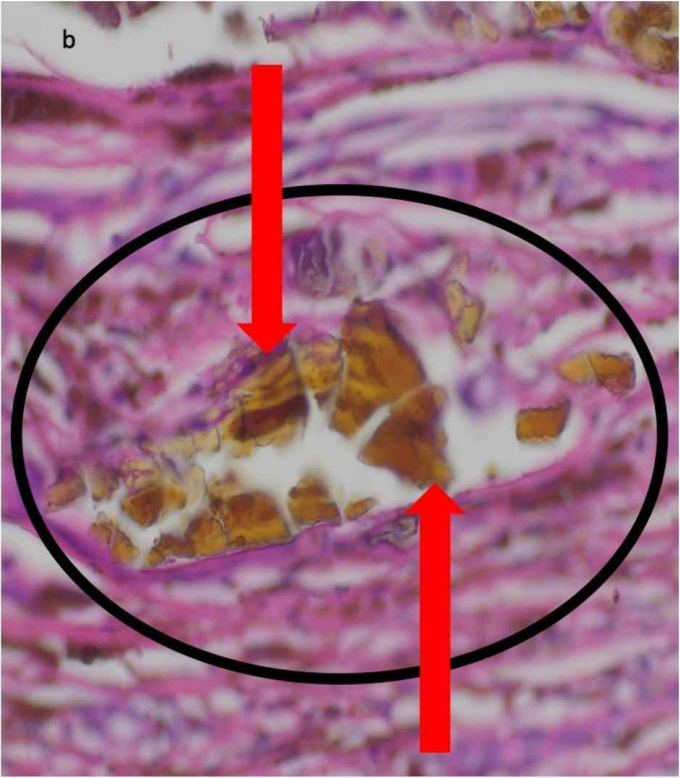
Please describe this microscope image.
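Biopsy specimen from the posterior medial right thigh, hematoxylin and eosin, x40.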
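Dermis with wavy pink collagen bundles and scattered purple nuclei surrounding a cleft that holds angular, fractured golden-brown fragments of foreign material. The fragments have sharp edges and cracks and lie loosely within an empty-looking space among the streaming fibrous tissue.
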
